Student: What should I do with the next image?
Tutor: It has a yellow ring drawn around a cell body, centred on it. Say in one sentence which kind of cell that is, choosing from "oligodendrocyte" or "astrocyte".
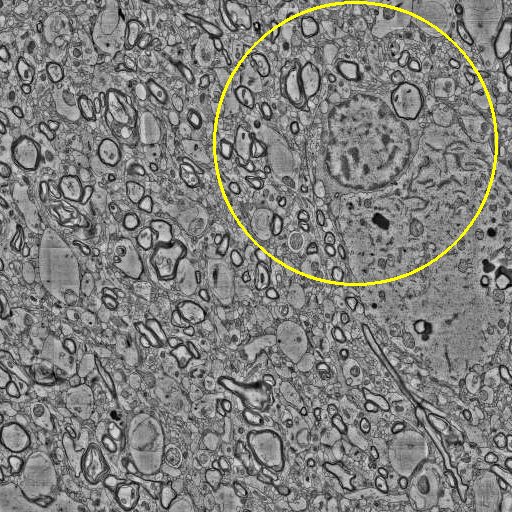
The ring's centre is occupied by an oligodendrocyte.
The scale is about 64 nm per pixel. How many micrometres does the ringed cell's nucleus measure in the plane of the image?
In this plane, the nucleus of the cell at the centre of the ring measures about 7 by 6 micrometres.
